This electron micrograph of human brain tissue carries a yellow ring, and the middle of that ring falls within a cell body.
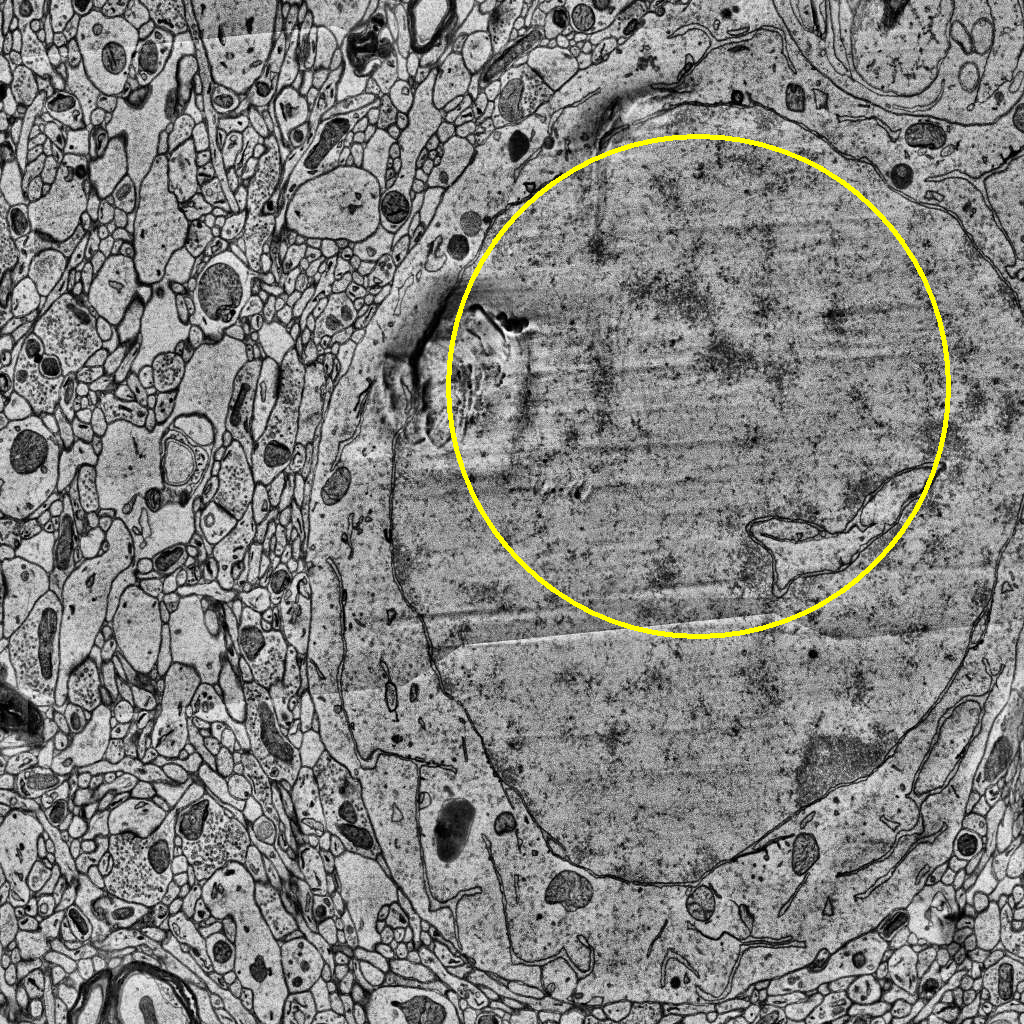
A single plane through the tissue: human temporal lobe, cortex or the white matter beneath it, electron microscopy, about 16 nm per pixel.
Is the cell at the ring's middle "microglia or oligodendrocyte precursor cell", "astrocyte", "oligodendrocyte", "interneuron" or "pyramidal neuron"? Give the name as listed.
interneuron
